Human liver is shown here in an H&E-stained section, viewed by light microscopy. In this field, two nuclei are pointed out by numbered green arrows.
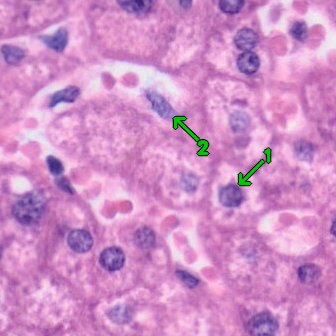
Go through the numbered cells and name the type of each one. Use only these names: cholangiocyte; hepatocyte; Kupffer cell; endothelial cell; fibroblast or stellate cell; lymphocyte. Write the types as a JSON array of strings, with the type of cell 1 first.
["hepatocyte", "Kupffer cell"]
